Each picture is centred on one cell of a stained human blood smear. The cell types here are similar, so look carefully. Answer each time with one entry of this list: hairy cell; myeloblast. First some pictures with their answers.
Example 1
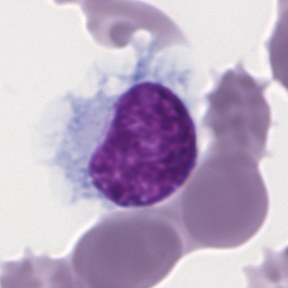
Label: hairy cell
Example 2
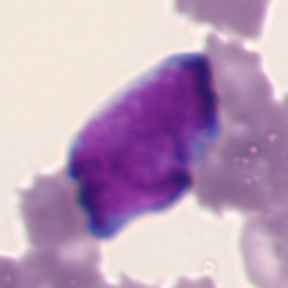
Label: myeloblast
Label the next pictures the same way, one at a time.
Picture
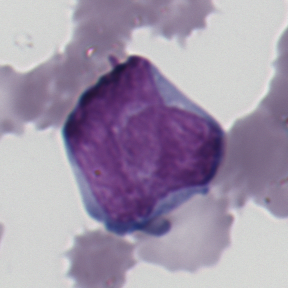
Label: myeloblast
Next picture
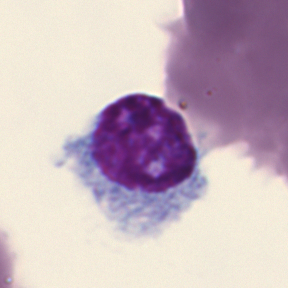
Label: hairy cell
